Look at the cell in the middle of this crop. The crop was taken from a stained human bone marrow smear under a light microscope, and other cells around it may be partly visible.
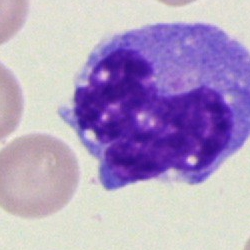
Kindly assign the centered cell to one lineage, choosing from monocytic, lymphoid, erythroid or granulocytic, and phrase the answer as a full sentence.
The cell occupying the center of the frame is part of the monocytic lineage.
